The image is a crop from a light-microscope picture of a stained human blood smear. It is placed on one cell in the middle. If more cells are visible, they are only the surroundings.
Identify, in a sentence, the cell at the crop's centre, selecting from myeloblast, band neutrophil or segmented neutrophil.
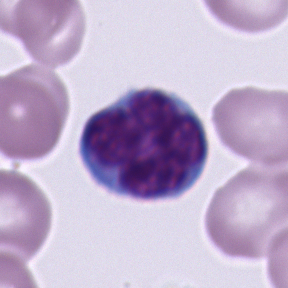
The centered cell in this crop is a myeloblast.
